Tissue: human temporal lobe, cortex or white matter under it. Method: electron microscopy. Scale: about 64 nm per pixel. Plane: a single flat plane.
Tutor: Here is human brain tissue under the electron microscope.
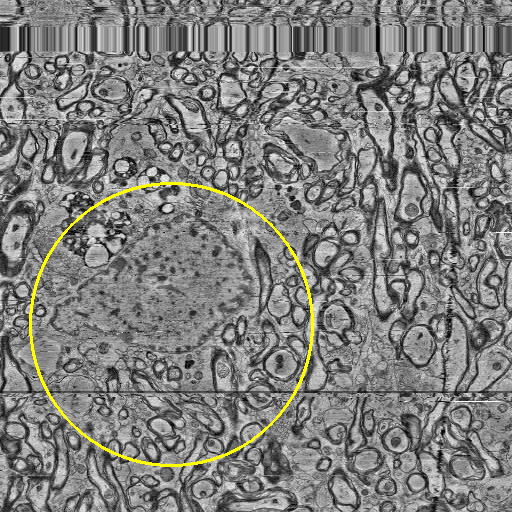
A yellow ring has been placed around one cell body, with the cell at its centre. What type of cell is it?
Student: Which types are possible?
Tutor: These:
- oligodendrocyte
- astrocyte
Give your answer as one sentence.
What the ring picks out here is an astrocyte.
